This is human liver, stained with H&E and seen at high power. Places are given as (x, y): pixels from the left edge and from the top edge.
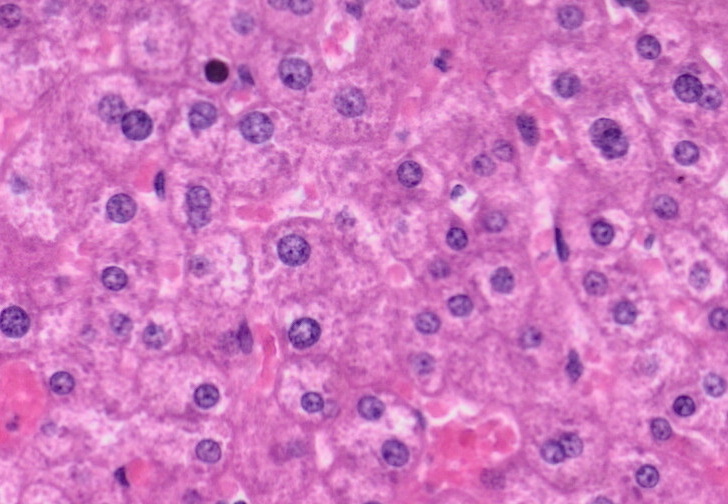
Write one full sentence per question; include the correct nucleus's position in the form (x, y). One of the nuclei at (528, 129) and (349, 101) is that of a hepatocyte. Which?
It is the nucleus at (349, 101) that forms part of a hepatocyte.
